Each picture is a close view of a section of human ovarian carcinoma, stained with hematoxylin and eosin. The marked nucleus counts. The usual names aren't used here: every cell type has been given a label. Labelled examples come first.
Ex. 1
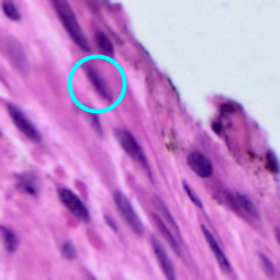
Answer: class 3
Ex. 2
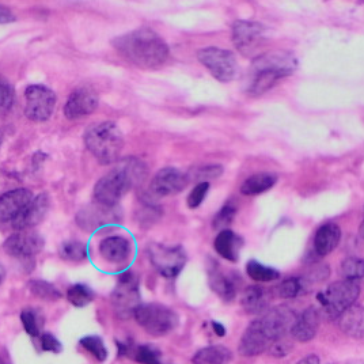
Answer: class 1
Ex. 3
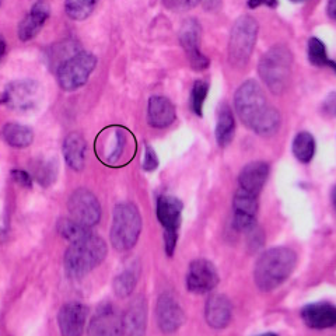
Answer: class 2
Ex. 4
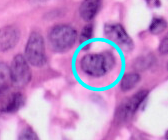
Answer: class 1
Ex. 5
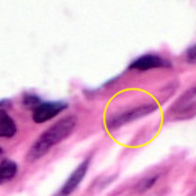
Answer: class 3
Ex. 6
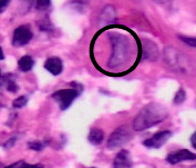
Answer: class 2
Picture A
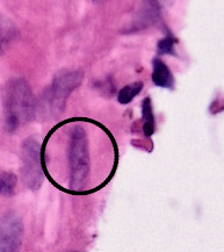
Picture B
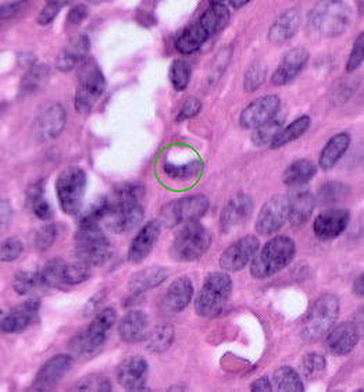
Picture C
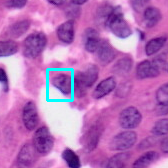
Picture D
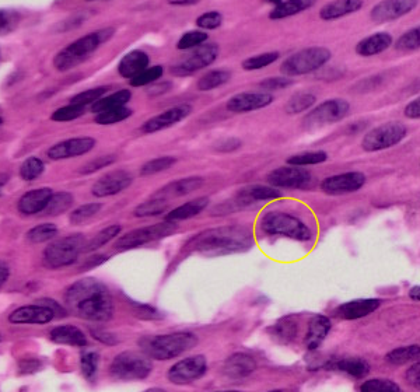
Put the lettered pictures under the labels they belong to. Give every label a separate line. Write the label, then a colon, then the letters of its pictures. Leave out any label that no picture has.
class 3: A
class 1: C, D
class 2: B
